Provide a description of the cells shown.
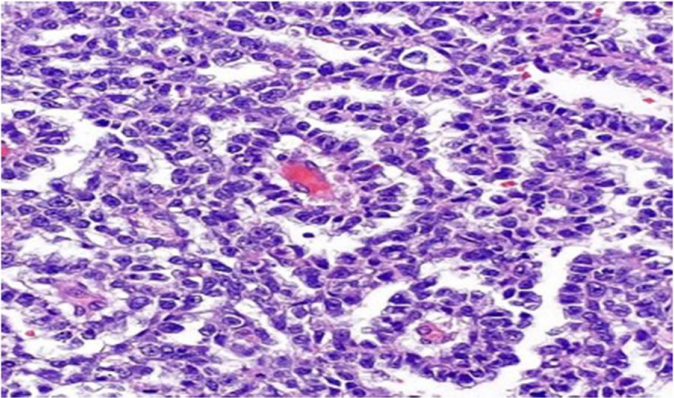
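This is a yolk sac tumor, built of a loose, lacy network of channels and spaces lined by rather primitive cells with dark, crowded nuclei and little cytoplasm. In the middle sits a Schiller-Duval body: a small central vessel containing red blood cells, wrapped by a cuff of tumor cells, and this whole core hangs inside a clear space that is itself lined by another layer of tumor cells, rather like a primitive glomerulus. Elsewhere, similar cells line irregular clefts, and a few more small vessels with red cells appear within the network.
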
